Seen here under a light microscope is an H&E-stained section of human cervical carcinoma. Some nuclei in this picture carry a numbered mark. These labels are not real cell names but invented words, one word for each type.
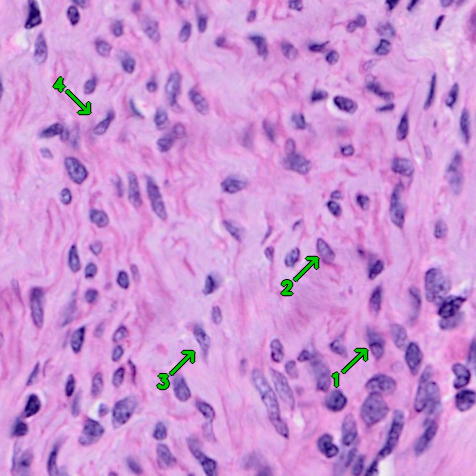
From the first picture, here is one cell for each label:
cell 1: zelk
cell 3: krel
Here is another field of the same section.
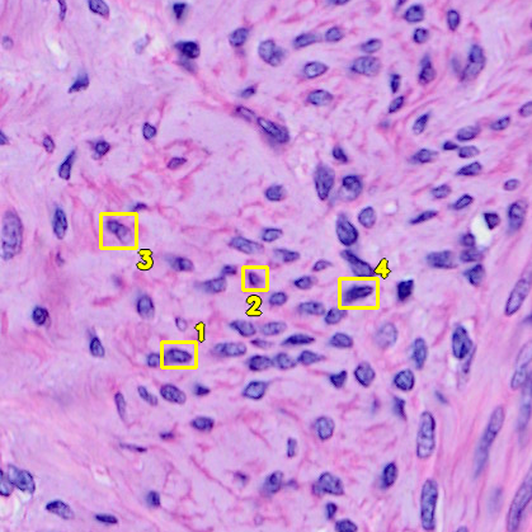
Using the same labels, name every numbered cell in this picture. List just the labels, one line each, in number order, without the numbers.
zelk
zelk
zelk
krel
